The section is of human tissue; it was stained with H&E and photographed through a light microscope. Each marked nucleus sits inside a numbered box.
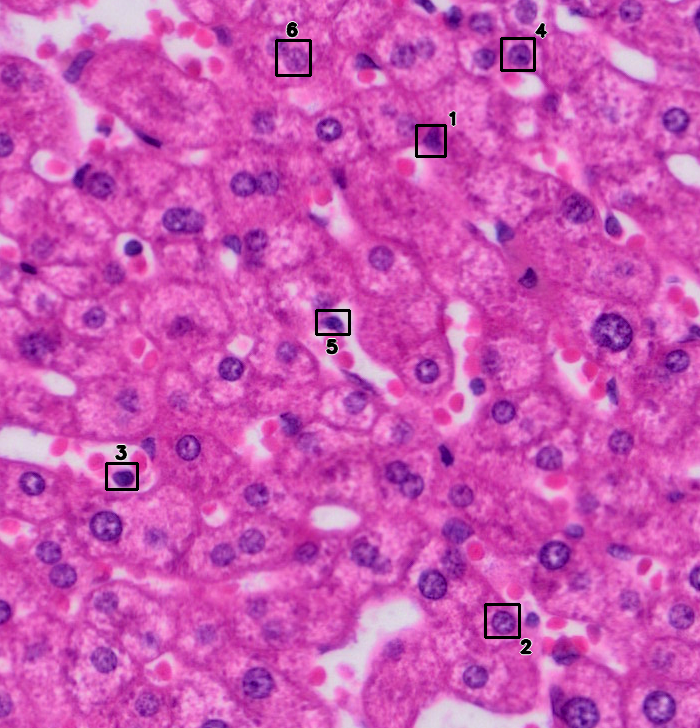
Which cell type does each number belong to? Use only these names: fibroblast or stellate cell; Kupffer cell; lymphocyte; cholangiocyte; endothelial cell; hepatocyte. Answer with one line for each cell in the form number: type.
1: fibroblast or stellate cell
2: hepatocyte
3: lymphocyte
4: hepatocyte
5: lymphocyte
6: hepatocyte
